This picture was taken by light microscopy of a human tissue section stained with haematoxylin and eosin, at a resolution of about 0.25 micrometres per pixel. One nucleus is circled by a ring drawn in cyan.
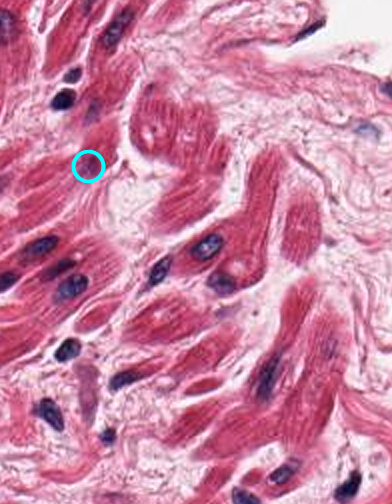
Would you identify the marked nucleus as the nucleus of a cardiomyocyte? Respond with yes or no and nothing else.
yes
